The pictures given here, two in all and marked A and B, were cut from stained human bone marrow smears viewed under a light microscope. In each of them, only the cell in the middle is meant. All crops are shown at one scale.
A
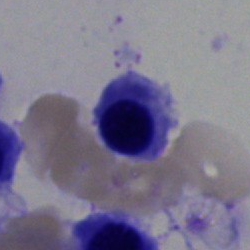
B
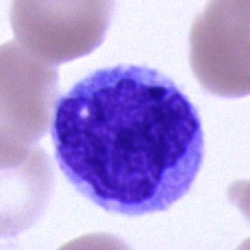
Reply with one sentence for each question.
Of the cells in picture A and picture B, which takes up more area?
It is the cell in picture B, about 3 times as large in area as the cell in picture A.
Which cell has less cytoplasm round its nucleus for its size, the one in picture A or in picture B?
In picture B the nucleus takes up the larger part of its cell.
